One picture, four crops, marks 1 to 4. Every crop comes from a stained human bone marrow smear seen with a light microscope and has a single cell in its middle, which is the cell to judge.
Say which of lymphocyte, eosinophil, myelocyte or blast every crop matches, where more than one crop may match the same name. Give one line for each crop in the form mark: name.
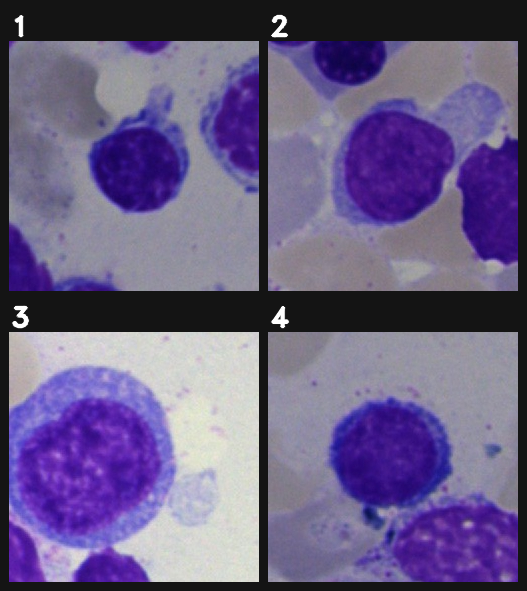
1: lymphocyte
2: lymphocyte
3: blast
4: lymphocyte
